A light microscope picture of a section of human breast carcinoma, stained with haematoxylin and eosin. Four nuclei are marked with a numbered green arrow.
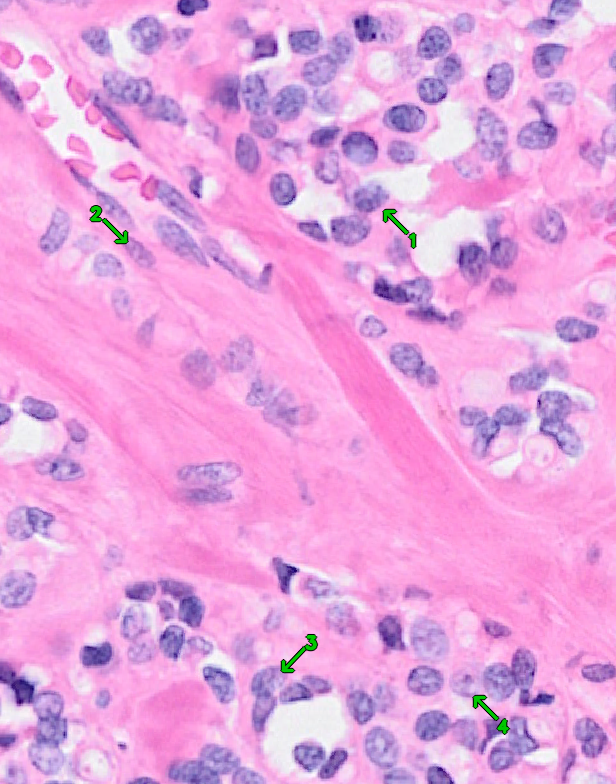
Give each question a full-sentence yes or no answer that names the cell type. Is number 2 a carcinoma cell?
No, cell 2 is correctly identified as an endothelial cell and not as a carcinoma cell.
